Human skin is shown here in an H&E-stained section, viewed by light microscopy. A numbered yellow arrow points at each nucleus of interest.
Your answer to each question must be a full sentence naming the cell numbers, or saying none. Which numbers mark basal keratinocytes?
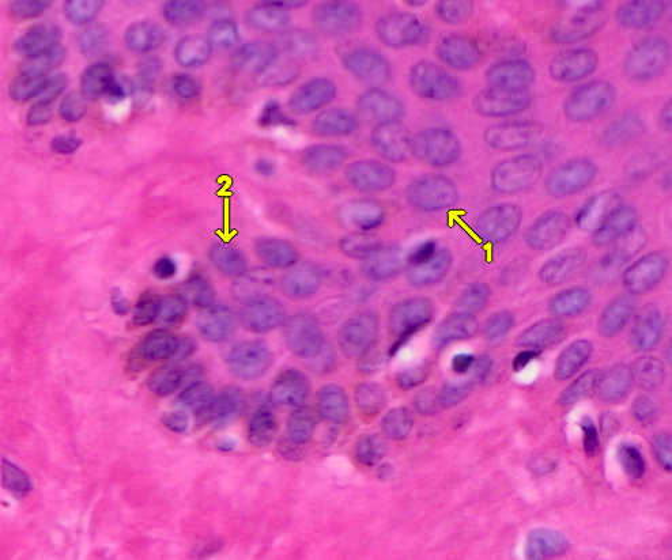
Cell 2 is the only numbered cell that is a basal keratinocyte.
